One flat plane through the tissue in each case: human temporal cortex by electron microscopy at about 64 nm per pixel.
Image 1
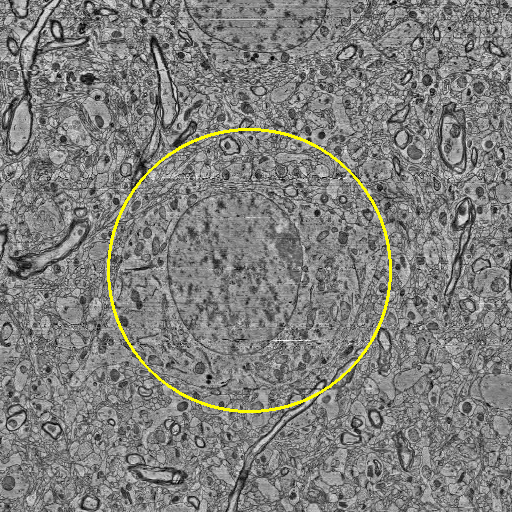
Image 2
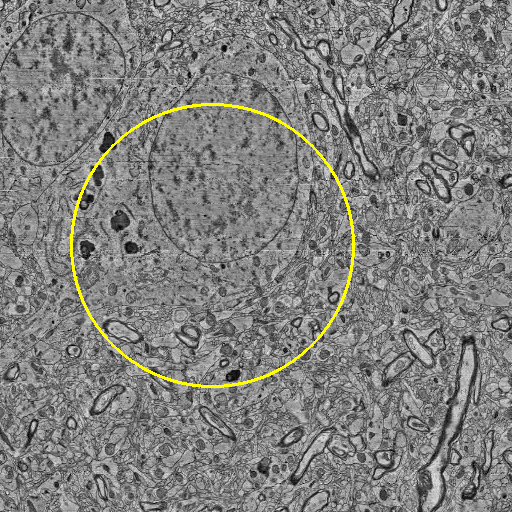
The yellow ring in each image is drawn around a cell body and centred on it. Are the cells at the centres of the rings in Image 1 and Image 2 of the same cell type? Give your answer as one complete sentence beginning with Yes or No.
No, the two cells are of two separate types.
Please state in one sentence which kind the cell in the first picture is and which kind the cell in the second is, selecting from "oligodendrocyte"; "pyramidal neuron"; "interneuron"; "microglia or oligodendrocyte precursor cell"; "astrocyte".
The first ringed cell is an interneuron, the second ringed cell a pyramidal neuron.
